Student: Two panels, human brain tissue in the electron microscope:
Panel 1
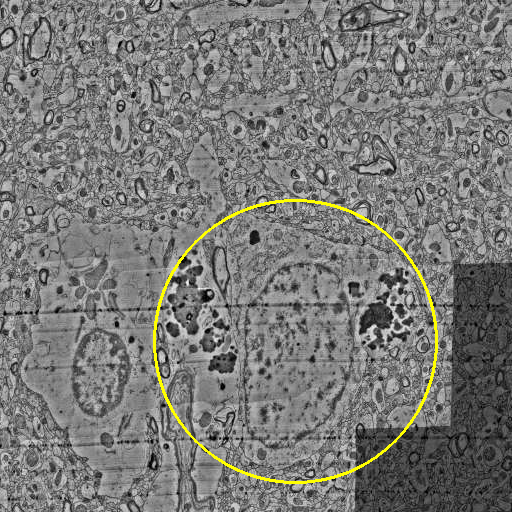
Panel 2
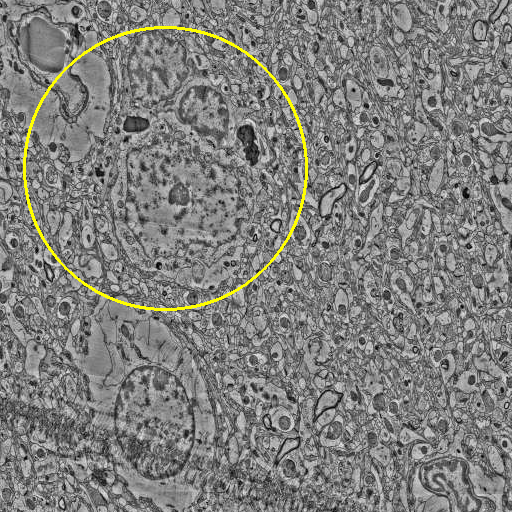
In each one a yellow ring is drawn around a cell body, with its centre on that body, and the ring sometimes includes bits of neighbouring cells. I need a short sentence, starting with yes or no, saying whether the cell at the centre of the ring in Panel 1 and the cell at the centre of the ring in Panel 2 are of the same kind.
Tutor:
Yes, they are the same kind of cell.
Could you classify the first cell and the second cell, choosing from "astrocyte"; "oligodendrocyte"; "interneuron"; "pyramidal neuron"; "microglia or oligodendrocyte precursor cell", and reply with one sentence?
The second cell is an interneuron, just as the first is.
